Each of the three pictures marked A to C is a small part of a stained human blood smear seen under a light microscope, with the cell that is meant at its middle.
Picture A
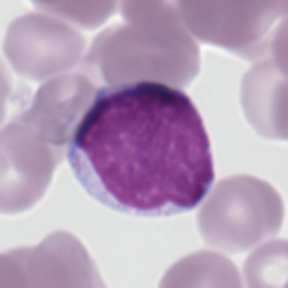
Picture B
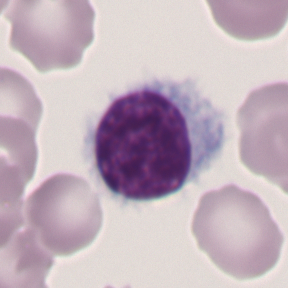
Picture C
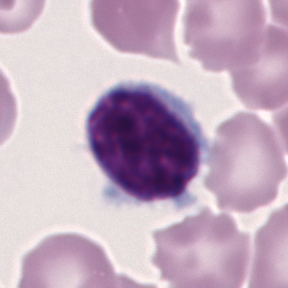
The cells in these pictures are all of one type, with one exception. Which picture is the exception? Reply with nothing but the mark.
A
